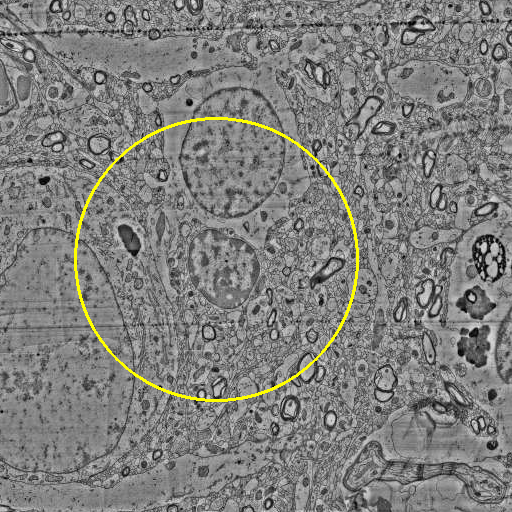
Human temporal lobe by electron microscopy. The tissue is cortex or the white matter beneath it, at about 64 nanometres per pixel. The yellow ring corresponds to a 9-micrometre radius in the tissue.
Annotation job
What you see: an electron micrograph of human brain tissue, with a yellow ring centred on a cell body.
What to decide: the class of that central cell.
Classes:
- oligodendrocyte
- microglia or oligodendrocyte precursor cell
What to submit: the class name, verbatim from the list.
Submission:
microglia or oligodendrocyte precursor cell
